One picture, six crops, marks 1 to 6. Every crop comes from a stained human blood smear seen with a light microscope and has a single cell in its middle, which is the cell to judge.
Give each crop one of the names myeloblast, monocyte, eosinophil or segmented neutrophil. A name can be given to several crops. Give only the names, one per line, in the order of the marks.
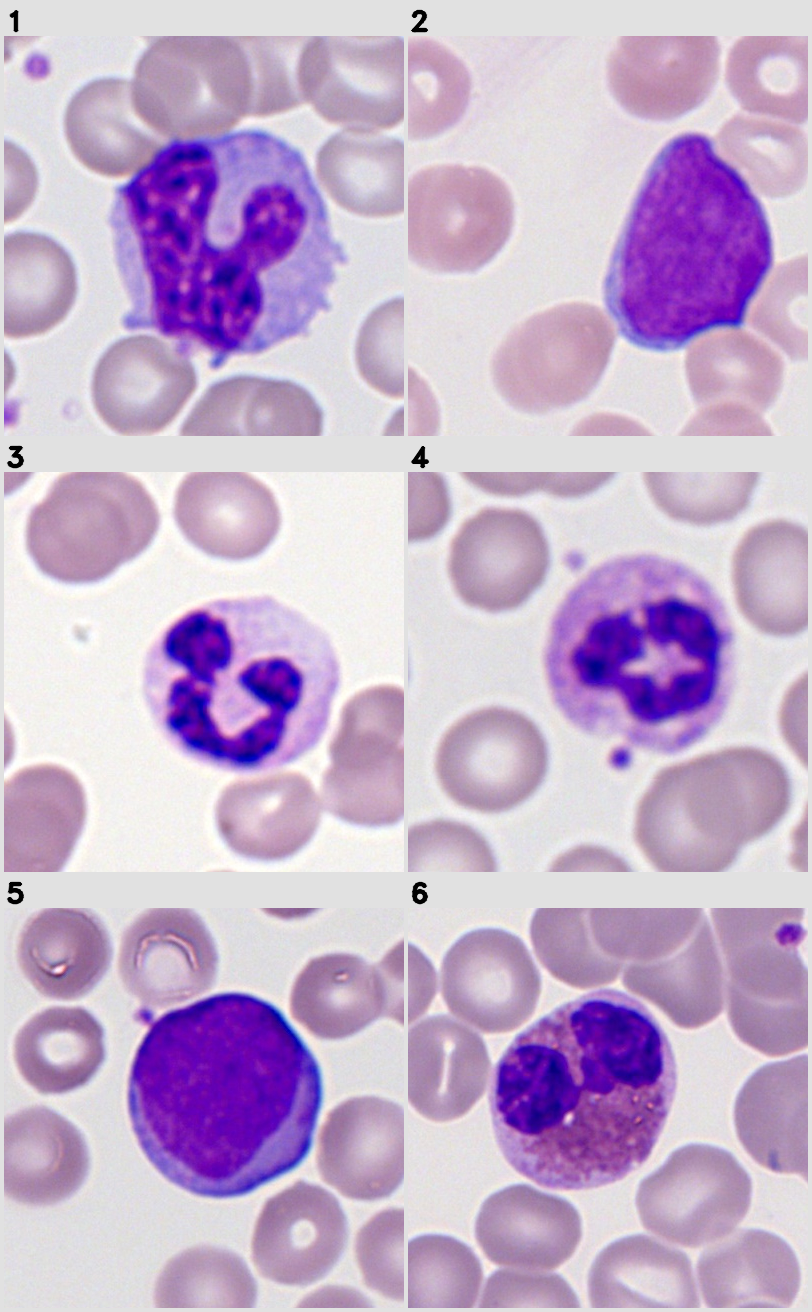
monocyte
myeloblast
segmented neutrophil
segmented neutrophil
myeloblast
eosinophil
